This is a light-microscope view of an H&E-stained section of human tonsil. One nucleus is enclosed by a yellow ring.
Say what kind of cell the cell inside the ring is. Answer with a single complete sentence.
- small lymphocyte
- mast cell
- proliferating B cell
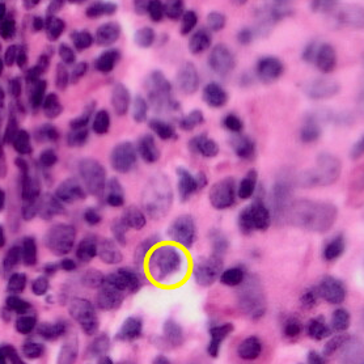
As a matter of cell type, the cell inside the ring is a proliferating B cell.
